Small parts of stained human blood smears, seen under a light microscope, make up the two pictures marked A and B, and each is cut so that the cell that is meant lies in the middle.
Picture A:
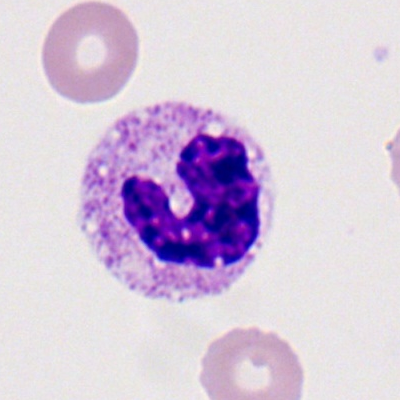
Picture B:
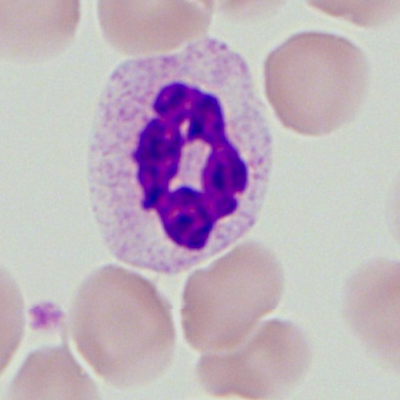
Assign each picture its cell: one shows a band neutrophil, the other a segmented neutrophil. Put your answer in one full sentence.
It is picture A that shows a band neutrophil, and picture B that shows a segmented neutrophil.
